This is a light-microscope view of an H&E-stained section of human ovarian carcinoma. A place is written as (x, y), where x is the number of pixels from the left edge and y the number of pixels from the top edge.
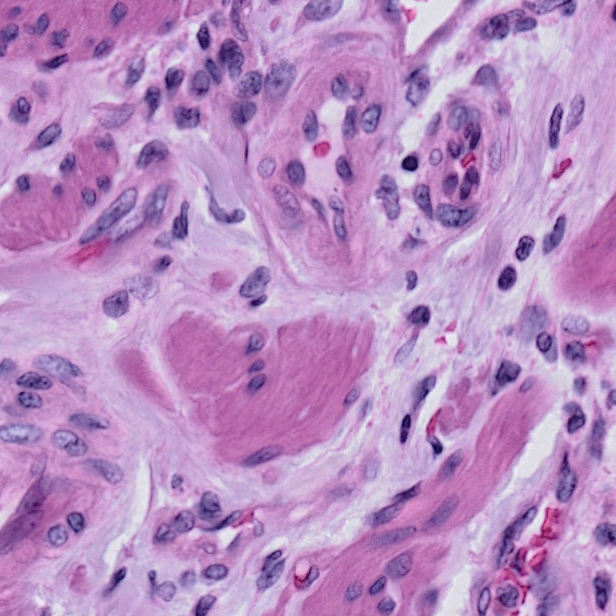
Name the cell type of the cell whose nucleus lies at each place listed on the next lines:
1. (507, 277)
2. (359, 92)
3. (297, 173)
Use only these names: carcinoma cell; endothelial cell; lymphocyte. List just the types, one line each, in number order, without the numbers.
lymphocyte
endothelial cell
endothelial cell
